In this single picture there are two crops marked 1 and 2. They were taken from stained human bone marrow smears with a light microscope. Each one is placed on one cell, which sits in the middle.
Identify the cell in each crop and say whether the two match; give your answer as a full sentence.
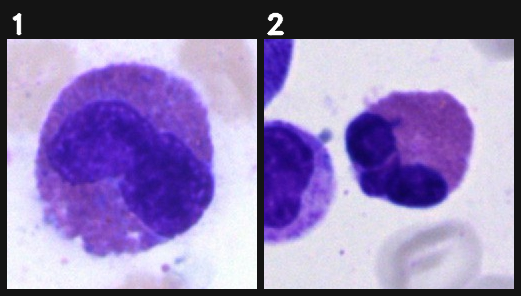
Yes, in both crops, eosinophils are the cells at the middle.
